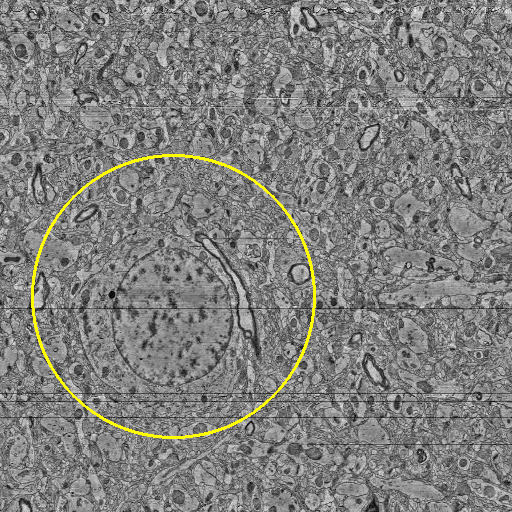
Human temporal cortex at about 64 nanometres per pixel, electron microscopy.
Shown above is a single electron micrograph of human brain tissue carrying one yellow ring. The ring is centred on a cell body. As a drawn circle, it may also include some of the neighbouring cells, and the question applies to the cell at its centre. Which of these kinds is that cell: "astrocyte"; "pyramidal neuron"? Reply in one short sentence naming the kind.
The cell marked by the ring is a pyramidal neuron.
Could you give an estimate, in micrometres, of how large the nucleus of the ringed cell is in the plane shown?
Approximately 10 micrometres long and 8 micrometres wide, in this plane.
